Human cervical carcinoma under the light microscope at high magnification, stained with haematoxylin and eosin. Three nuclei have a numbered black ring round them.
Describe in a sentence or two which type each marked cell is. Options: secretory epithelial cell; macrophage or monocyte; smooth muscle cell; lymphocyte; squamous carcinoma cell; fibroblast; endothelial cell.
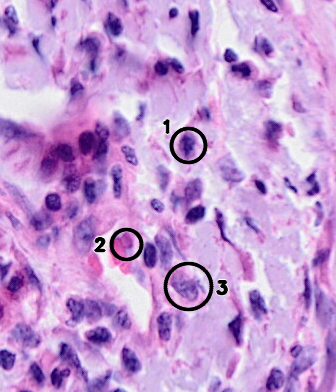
Cell 1 is a lymphocyte, cell 2 is an endothelial cell and cell 3 is a macrophage or monocyte.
